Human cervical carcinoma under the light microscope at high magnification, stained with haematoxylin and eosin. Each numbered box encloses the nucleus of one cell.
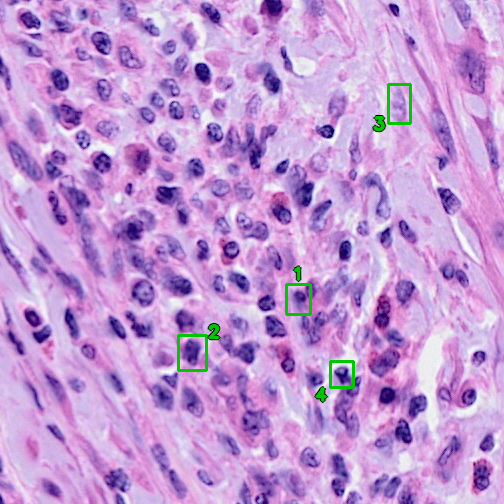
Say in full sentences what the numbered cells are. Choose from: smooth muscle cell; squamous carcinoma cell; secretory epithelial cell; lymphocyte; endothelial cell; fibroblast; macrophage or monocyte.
Cell 1 is a lymphocyte, cell 2 is a lymphocyte, cell 3 is a fibroblast and cell 4 is a lymphocyte.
